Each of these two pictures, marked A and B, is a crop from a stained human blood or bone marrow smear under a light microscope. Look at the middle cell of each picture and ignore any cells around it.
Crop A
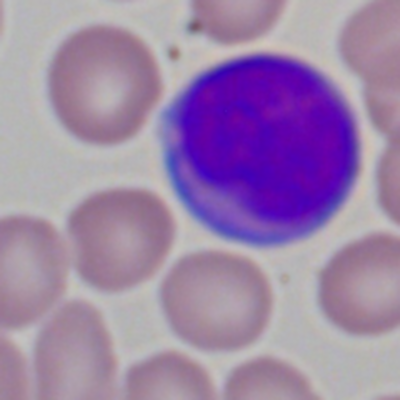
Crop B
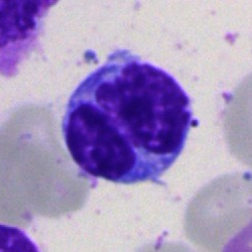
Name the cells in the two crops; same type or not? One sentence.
No, in fact crop A shows a blast, and crop B shows a monocyte.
